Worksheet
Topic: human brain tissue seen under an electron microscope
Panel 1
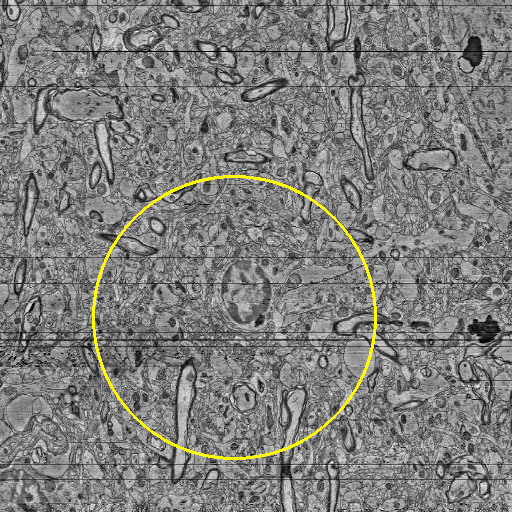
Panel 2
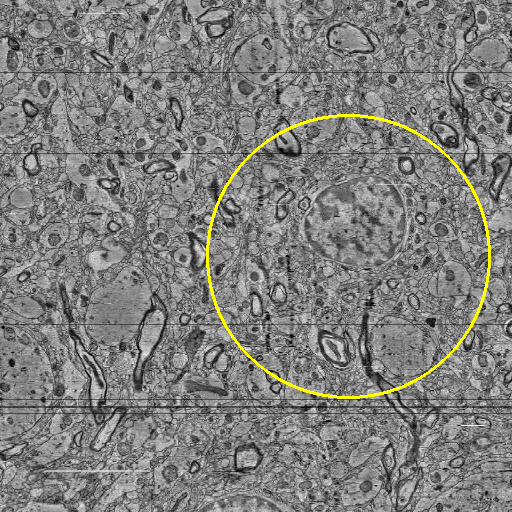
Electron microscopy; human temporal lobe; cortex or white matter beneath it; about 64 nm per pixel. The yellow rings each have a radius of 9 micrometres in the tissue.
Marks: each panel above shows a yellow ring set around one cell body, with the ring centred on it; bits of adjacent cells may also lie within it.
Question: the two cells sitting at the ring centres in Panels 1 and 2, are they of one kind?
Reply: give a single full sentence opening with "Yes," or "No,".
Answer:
Yes, the two ring-centre cells in Panel 1 and Panel 2 are of one kind.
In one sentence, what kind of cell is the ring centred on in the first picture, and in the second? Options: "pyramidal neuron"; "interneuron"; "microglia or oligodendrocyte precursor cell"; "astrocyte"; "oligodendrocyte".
In both pictures the ring is centred on a microglial cell or oligodendrocyte precursor cell.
